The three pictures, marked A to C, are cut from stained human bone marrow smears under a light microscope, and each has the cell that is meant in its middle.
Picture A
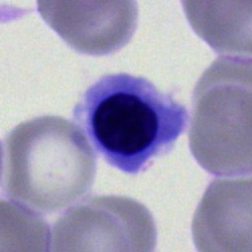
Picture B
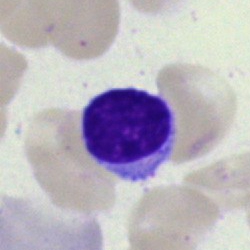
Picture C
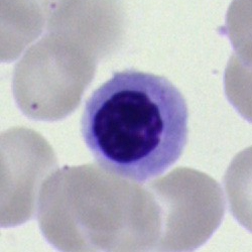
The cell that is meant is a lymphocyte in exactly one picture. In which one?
B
